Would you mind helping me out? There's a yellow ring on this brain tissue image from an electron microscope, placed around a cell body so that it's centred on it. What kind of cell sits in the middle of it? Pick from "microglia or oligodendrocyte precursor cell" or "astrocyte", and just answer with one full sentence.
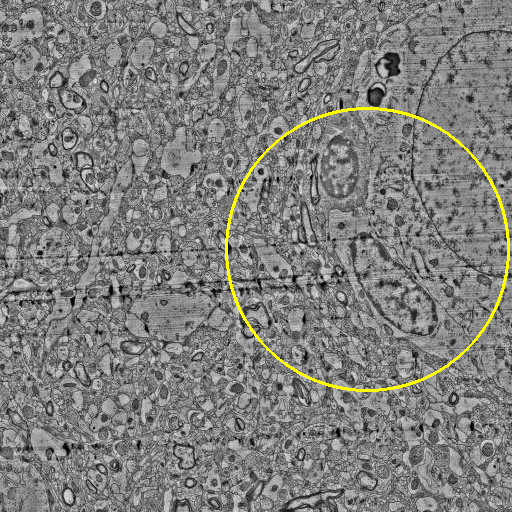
What sits in the middle of that yellow ring is a microglial cell or oligodendrocyte precursor cell, from your choices.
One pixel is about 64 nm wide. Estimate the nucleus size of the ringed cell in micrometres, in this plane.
About 8 micrometres by about 3 micrometres in this plane.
